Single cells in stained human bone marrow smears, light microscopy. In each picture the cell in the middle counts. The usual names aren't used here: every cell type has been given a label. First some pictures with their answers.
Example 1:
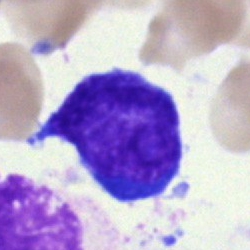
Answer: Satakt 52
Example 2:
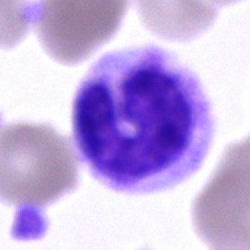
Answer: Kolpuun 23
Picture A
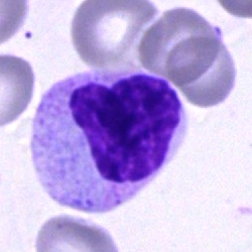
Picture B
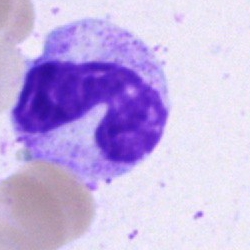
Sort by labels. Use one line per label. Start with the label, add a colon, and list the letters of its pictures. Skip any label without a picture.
Kolpuun 23: A, B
